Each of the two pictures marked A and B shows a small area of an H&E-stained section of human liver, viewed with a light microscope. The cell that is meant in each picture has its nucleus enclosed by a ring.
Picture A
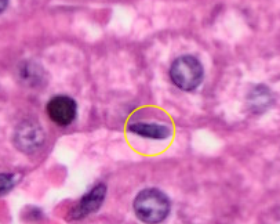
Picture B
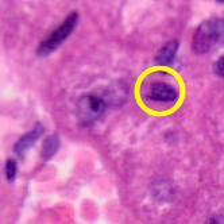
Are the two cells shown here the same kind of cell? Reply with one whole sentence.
No; the cell in picture A is an endothelial cell, while the one in picture B is a “fibroblast or stellate cell”.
